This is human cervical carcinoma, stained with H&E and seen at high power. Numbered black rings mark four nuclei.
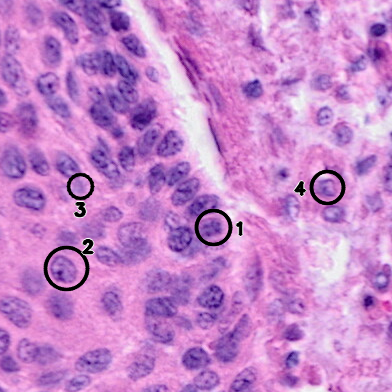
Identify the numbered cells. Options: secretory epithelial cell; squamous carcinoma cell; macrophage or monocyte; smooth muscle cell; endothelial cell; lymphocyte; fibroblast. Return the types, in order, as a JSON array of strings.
["squamous carcinoma cell", "squamous carcinoma cell", "squamous carcinoma cell", "endothelial cell"]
